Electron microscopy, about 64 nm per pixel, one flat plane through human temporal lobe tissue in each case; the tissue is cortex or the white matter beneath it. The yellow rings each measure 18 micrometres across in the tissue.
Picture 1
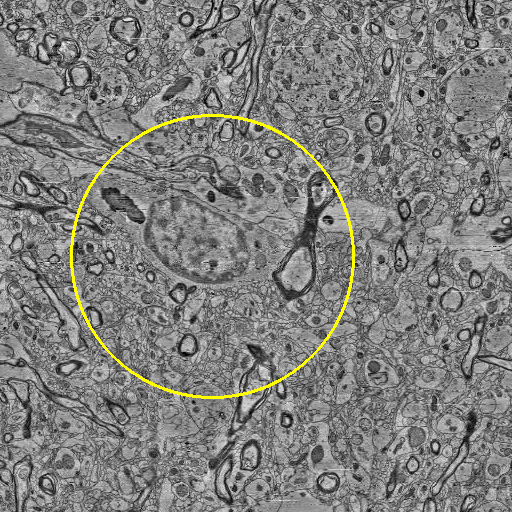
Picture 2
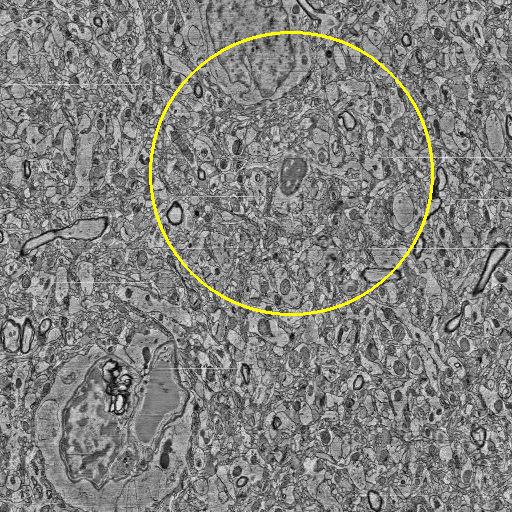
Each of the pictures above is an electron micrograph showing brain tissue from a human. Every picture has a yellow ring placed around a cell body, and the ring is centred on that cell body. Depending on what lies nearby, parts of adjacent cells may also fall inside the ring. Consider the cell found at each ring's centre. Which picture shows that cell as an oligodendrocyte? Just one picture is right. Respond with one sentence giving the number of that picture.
The picture showing the wanted cell at the ring's centre is number 1.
